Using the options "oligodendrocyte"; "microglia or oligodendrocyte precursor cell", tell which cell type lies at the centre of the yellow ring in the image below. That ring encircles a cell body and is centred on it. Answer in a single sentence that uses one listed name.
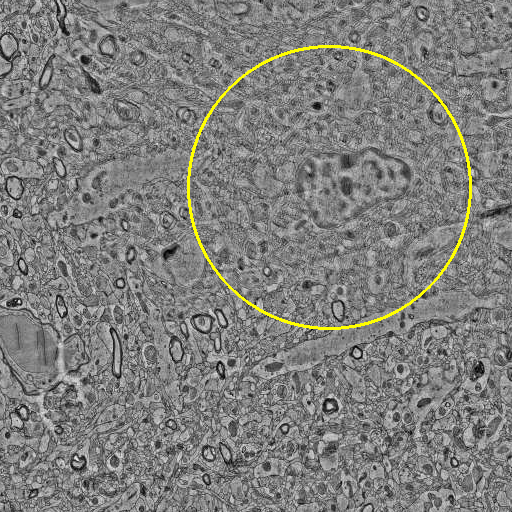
At the centre of the yellow ring lies the body of a microglial cell or oligodendrocyte precursor cell.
